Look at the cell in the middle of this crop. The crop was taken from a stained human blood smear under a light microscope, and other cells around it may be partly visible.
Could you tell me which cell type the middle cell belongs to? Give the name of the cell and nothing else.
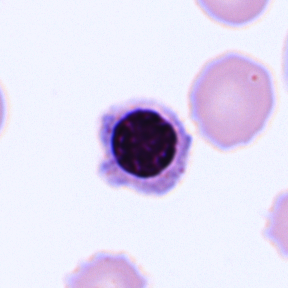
normoblast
